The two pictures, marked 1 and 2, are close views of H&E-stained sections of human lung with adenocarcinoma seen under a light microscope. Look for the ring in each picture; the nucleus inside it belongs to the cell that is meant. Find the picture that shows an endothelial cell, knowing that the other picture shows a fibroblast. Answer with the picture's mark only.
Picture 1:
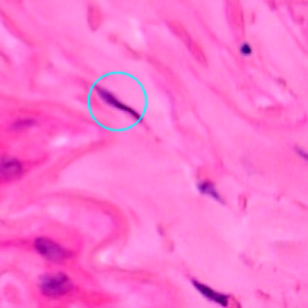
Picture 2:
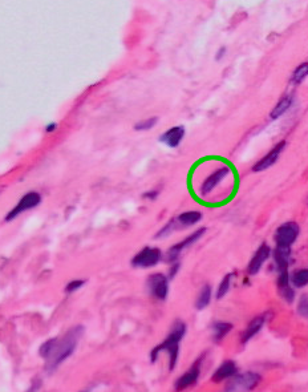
2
